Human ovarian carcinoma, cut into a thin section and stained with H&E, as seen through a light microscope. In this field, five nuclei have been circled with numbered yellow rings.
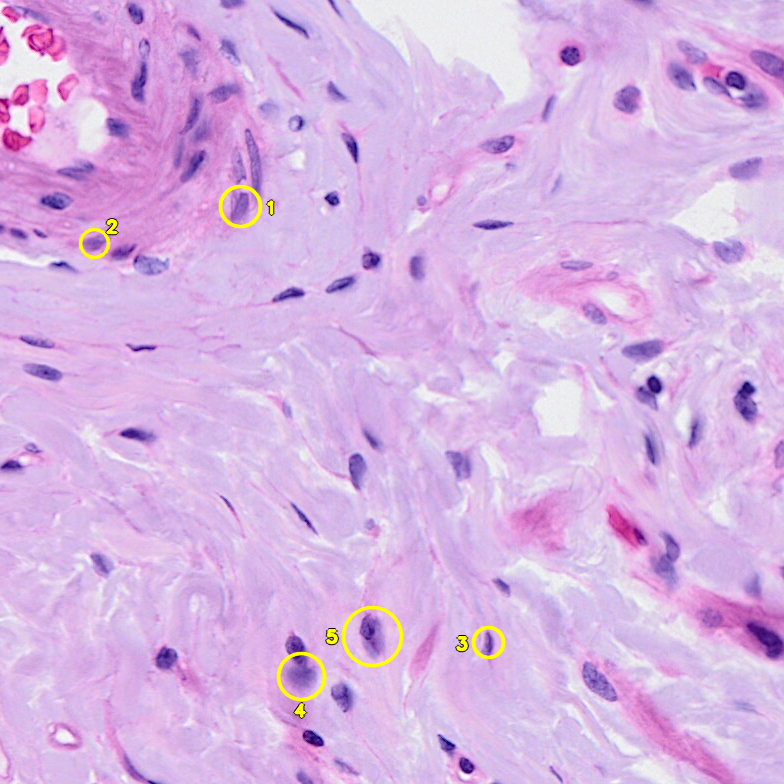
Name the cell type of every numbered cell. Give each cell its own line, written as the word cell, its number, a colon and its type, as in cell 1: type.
cell 1: smooth muscle cell
cell 2: smooth muscle cell
cell 3: fibroblast
cell 4: fibroblast
cell 5: fibroblast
